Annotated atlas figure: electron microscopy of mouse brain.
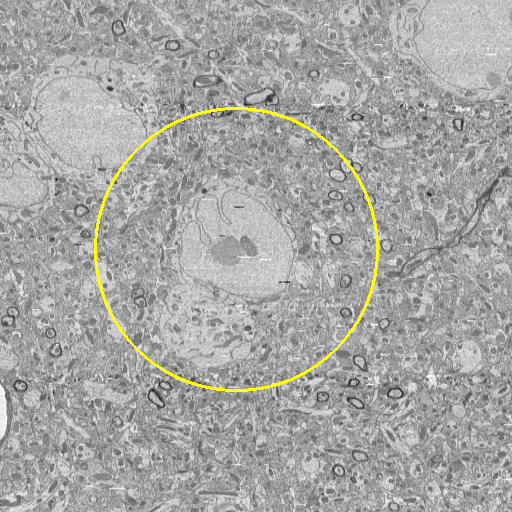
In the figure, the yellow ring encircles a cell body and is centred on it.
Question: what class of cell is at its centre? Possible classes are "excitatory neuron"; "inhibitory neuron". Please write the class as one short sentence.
The yellow ring is drawn around an inhibitory neuron.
